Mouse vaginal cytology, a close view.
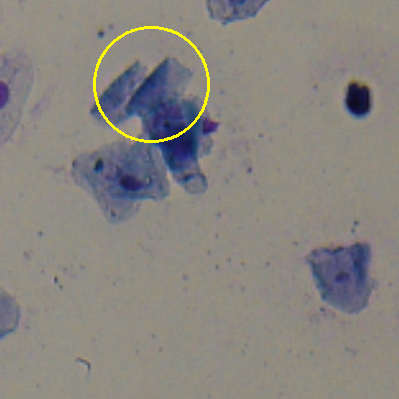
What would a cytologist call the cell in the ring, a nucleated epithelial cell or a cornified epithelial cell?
A cytologist would call it a cornified epithelial cell.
